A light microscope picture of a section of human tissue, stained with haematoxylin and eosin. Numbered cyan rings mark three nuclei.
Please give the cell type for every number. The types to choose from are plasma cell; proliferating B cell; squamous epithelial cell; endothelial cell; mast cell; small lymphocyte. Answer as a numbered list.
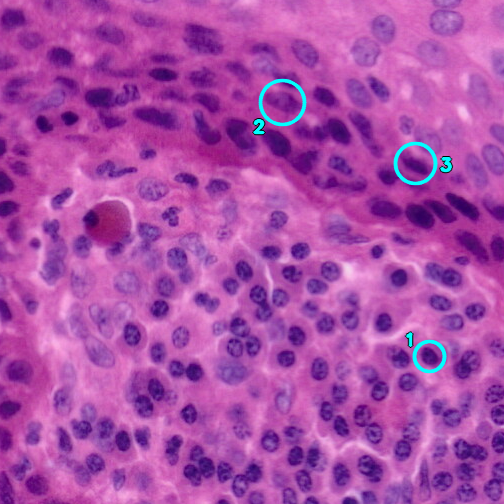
1. plasma cell
2. squamous epithelial cell
3. squamous epithelial cell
